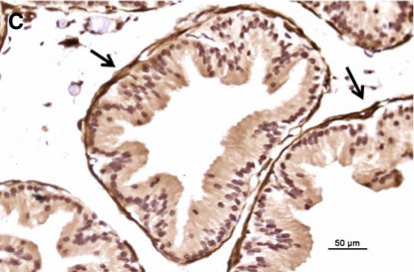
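This is a section of prostate showing glandular acini lined by a single layer of tall columnar epithelial cells whose nuclei sit toward the base and stain purple. The epithelium is thrown into folds that project into wide open lumina. Around each acinus lies a thin, continuous band of dark brown-stained smooth muscle in the stroma, just outside the epithelium. Between neighbouring acini there is only sparse connective tissue.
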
